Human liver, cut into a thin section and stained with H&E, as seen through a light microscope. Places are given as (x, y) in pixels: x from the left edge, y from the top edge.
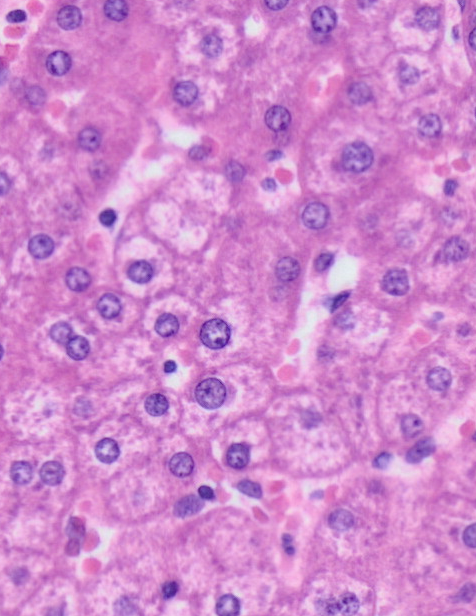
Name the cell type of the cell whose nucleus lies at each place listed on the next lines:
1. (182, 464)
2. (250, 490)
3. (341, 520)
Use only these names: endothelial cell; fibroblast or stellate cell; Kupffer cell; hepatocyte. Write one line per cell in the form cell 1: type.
cell 1: hepatocyte
cell 2: Kupffer cell
cell 3: hepatocyte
